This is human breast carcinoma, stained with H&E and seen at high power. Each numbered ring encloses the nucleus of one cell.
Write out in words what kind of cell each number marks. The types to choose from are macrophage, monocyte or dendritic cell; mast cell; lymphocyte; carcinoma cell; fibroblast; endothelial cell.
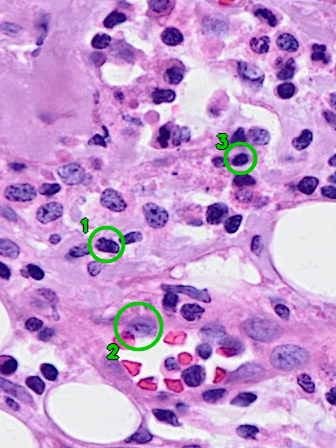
Cell 1 is a lymphocyte, cell 2 is an endothelial cell and cell 3 is a lymphocyte.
